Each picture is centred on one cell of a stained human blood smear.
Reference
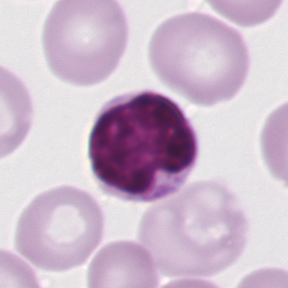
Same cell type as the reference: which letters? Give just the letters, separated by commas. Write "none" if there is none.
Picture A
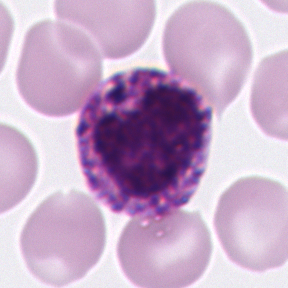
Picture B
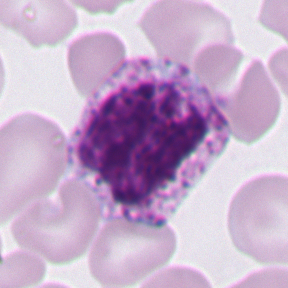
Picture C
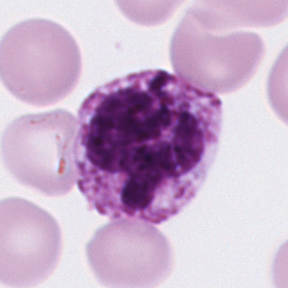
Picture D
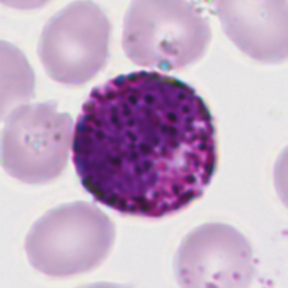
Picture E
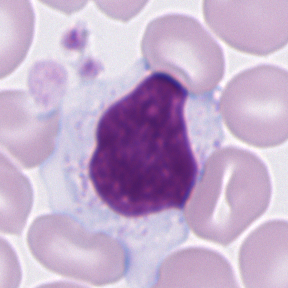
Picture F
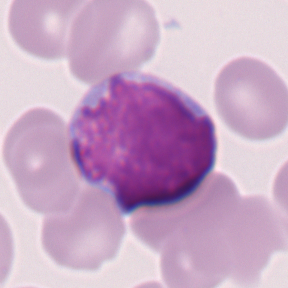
E, F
